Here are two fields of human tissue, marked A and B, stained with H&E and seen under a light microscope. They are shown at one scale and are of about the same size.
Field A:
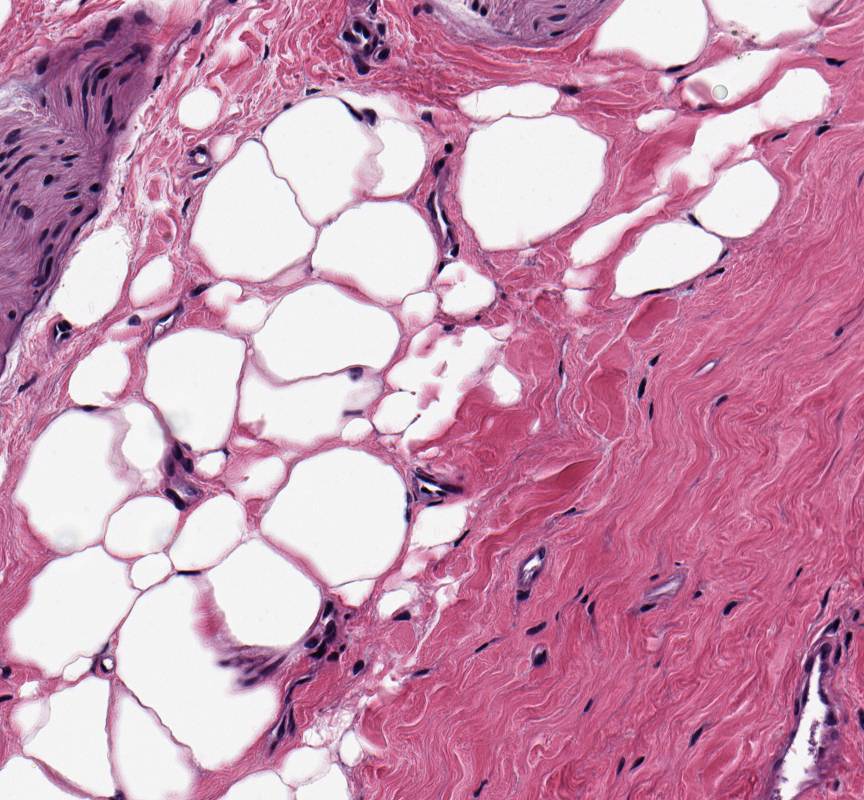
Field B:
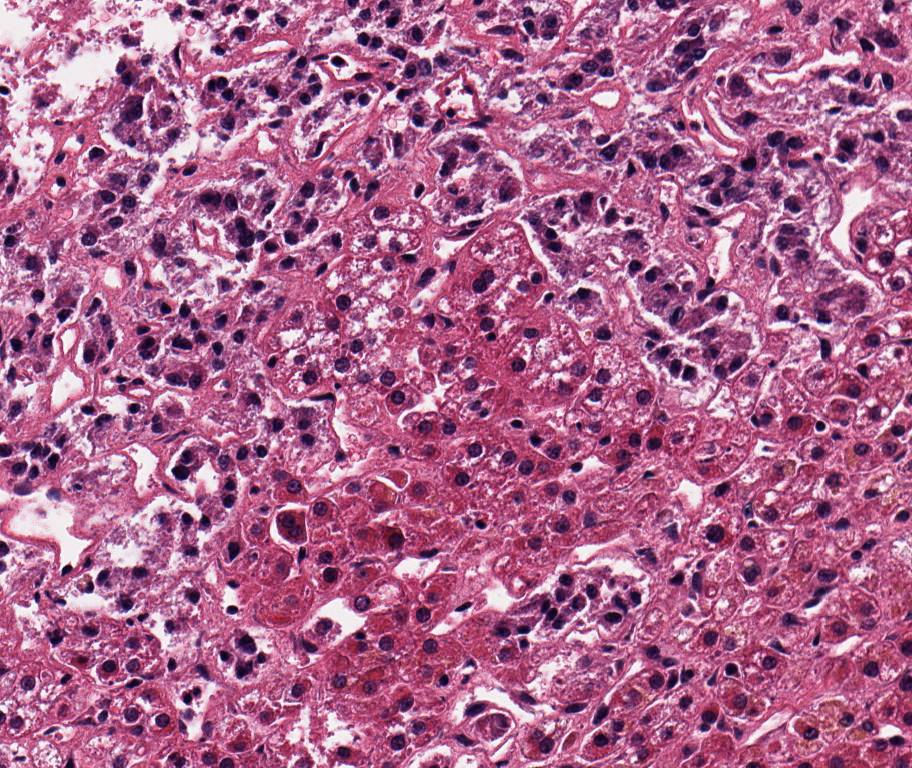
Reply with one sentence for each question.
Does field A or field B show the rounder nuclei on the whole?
The nuclei are rounder in field B.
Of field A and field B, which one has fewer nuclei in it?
Fewer nuclei lie in field A than in field B.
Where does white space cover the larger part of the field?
Field A has more white space.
